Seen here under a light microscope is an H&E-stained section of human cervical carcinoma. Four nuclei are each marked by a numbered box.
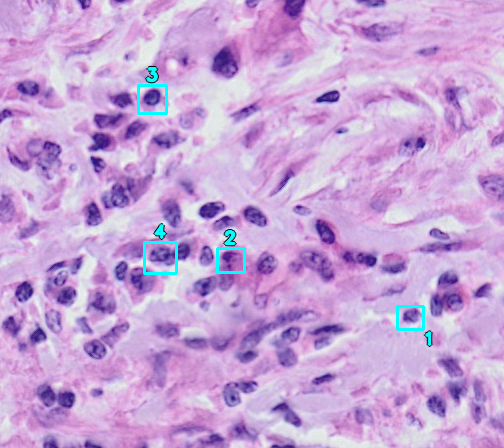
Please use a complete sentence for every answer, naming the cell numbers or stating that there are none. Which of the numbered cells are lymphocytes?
The cells marked with the numbers 1, 3 and 4 are lymphocytes.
